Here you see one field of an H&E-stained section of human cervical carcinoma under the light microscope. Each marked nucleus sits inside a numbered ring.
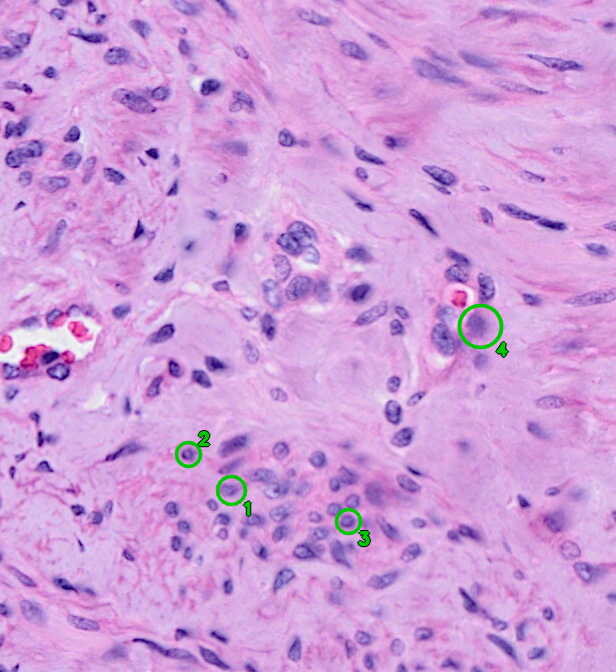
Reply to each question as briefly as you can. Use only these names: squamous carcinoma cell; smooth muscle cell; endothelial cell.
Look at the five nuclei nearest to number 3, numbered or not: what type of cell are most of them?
smooth muscle cell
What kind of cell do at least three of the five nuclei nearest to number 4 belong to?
endothelial cell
